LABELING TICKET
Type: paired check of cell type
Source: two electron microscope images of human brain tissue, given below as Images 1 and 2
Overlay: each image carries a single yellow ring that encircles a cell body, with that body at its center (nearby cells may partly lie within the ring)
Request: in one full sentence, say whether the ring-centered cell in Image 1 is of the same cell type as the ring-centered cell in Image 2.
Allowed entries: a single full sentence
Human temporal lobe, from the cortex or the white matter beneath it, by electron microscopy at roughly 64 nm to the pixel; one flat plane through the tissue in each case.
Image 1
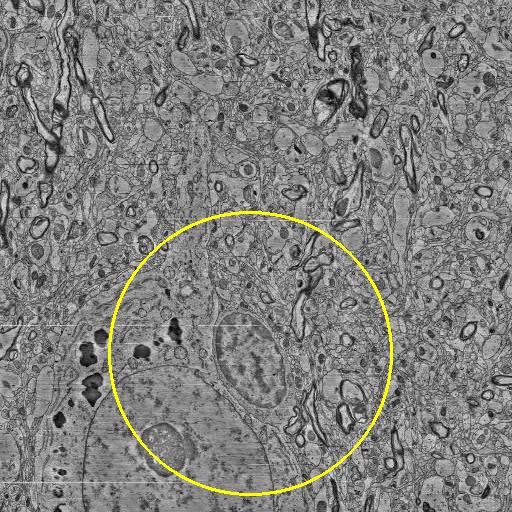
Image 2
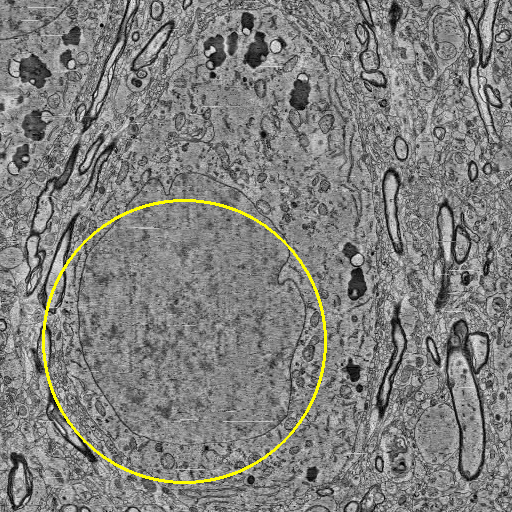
No, the cells centered in the rings of Image 1 and Image 2 are of two types.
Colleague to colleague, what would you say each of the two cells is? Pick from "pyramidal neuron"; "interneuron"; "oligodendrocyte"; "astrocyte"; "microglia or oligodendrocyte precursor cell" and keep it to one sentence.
The cell in the first picture is an oligodendrocyte; the second picture's cell is a pyramidal neuron.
